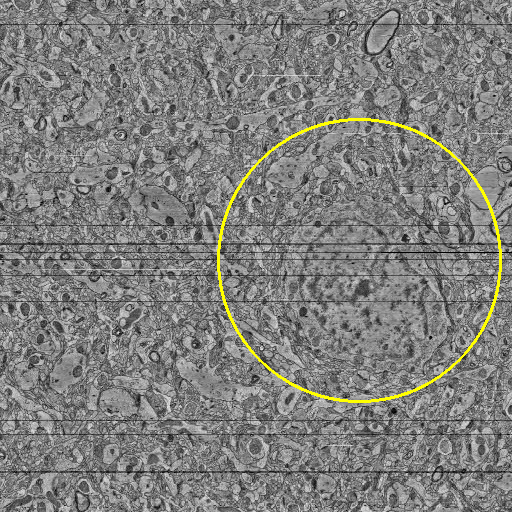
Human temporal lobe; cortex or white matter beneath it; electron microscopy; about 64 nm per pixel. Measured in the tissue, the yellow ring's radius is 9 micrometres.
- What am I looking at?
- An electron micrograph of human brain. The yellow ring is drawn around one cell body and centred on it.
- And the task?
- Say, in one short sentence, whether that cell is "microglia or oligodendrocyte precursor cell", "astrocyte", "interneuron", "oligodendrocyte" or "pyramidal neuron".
The cell in the middle of the ring is an interneuron.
